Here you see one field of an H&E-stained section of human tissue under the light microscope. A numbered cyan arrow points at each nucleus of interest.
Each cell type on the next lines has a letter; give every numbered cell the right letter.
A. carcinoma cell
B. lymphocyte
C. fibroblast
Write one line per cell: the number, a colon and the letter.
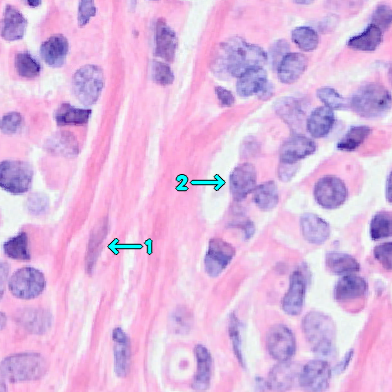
1: C
2: A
